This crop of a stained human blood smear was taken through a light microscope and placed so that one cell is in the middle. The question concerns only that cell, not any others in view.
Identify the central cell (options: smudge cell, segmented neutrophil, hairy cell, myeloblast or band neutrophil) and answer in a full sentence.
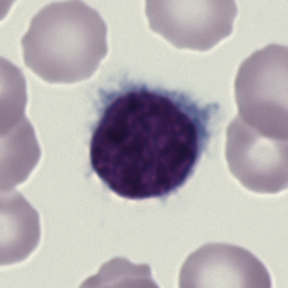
At the center of the crop sits a hairy cell.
